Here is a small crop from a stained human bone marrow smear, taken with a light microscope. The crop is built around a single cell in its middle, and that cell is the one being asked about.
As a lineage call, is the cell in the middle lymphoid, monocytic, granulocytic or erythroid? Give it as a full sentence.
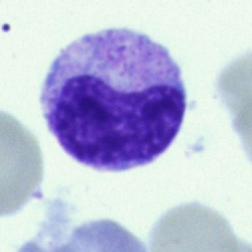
The lineage represented by the cell in the middle is granulocytic.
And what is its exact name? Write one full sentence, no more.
The central cell, amid any neighbouring cells, is a band neutrophil.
